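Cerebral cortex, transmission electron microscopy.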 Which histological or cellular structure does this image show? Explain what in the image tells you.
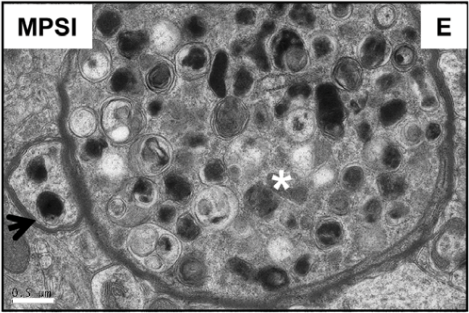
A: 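Dystrophic axons. It is packed with vesicles, multilamellar bodies and electron-dense bodies.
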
